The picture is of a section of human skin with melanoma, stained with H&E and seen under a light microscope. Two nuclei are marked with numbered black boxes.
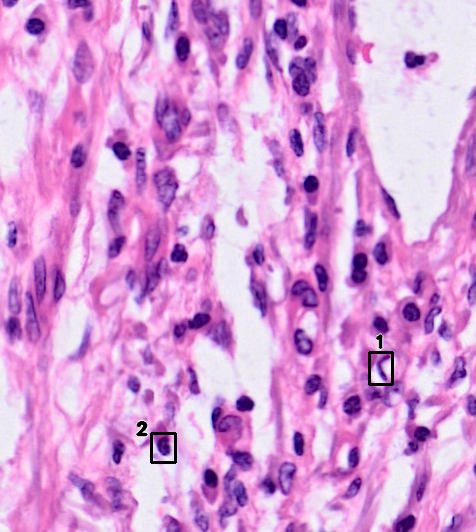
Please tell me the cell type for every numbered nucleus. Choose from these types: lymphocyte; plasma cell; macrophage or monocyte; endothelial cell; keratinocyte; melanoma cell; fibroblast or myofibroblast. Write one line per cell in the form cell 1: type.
cell 1: fibroblast or myofibroblast
cell 2: plasma cell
